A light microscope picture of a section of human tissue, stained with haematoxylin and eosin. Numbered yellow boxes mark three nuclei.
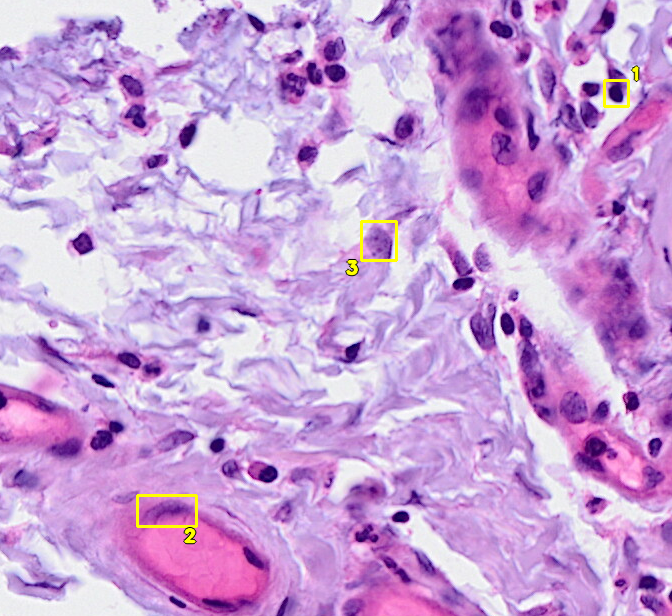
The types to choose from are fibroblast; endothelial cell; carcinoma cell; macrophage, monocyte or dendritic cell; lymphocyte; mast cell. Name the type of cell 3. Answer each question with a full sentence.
The cell to which the number 3 is assigned is a fibroblast.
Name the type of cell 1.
Denoted by the label 1 in the section is a lymphocyte.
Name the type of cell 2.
The cell pointed out as number 2 is an endothelial cell.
